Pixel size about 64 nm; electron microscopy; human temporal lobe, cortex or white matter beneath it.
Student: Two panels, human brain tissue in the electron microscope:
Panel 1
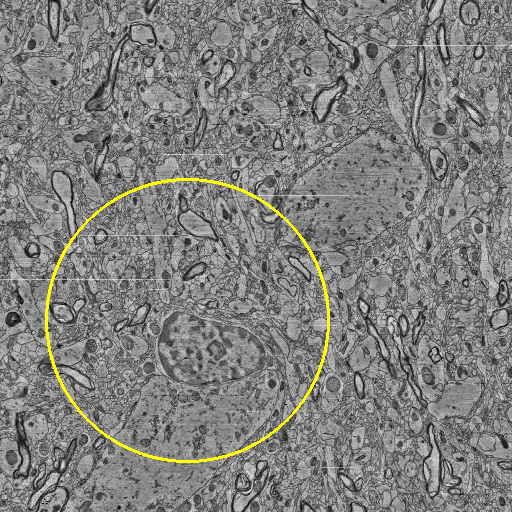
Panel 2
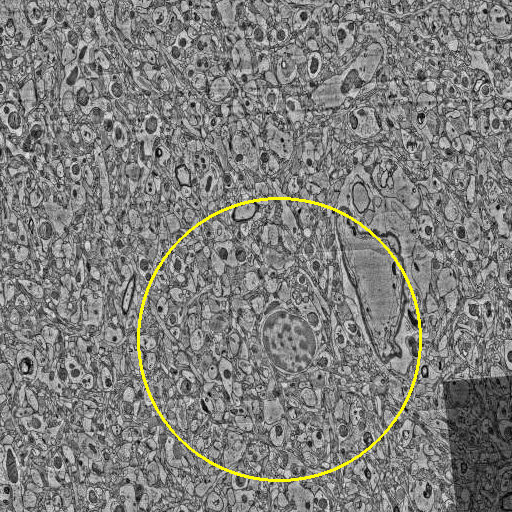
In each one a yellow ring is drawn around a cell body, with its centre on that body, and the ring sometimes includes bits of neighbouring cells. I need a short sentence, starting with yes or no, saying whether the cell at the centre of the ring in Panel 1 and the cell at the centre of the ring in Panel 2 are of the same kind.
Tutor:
Yes, they are the same kind of cell.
